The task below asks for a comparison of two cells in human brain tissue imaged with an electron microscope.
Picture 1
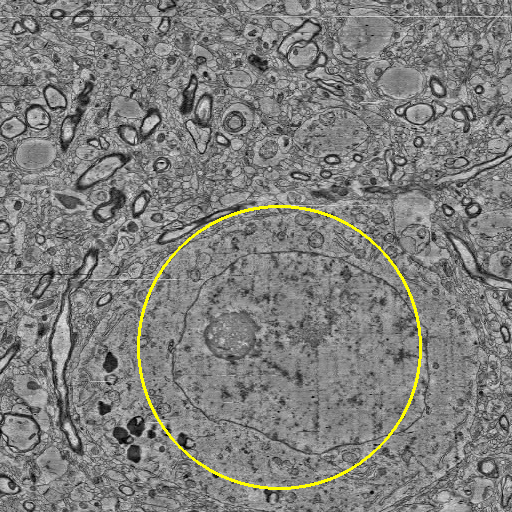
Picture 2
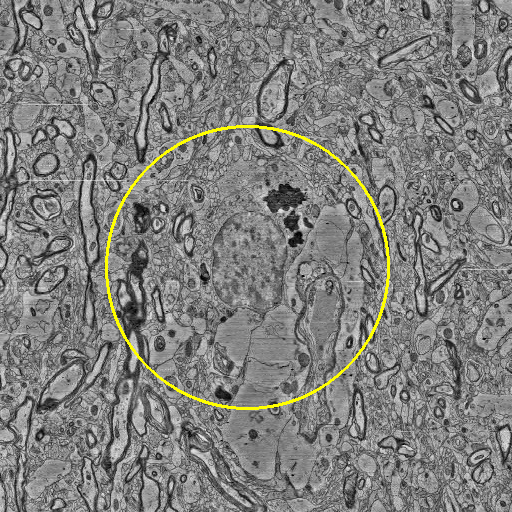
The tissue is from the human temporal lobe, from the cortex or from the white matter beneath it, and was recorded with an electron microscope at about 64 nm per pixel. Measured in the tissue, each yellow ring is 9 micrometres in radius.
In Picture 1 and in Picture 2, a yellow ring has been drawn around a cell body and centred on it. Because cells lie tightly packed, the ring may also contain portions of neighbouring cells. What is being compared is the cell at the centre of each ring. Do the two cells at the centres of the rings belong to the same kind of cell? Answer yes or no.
no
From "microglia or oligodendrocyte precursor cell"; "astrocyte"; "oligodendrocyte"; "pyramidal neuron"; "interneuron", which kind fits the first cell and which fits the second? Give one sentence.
The cell marked in the first picture is a pyramidal neuron, and the one marked in the second is an oligodendrocyte.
